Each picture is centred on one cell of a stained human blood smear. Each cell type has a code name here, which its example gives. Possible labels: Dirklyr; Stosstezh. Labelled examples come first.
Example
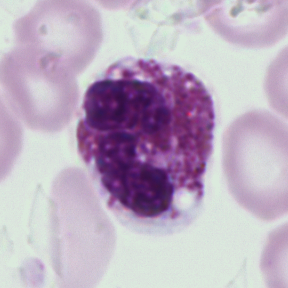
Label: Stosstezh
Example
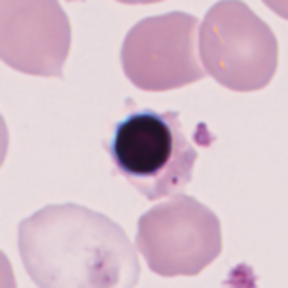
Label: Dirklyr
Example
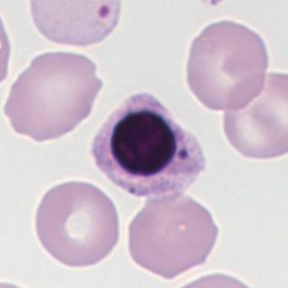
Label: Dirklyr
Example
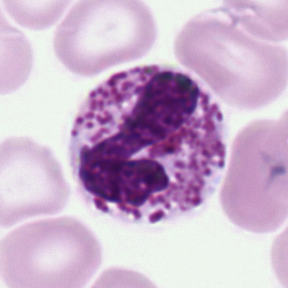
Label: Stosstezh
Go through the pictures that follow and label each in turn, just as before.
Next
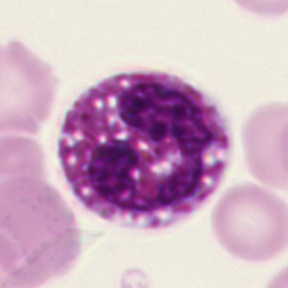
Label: Stosstezh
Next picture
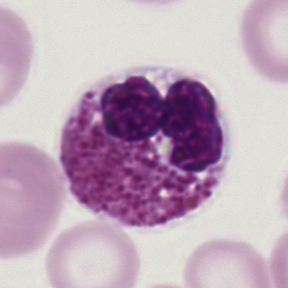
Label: Stosstezh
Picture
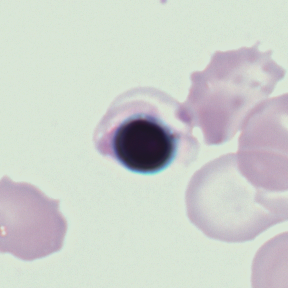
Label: Dirklyr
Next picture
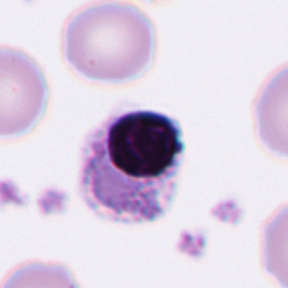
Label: Dirklyr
